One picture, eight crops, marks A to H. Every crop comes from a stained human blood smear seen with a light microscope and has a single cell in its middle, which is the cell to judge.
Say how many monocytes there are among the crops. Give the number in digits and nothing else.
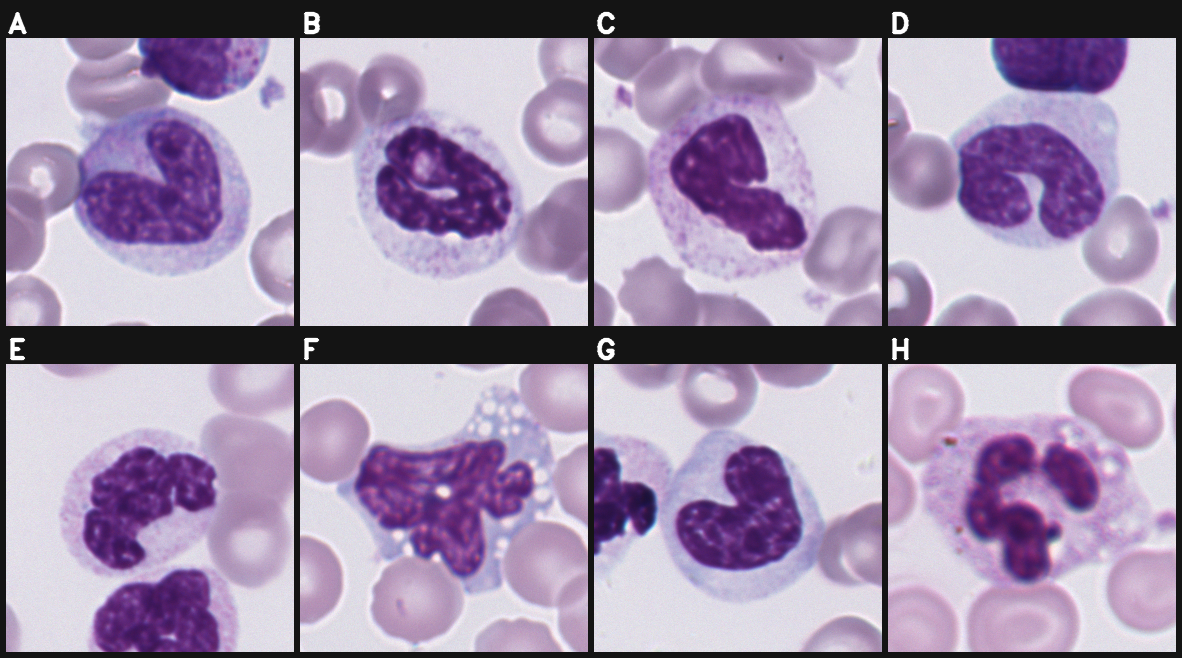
1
